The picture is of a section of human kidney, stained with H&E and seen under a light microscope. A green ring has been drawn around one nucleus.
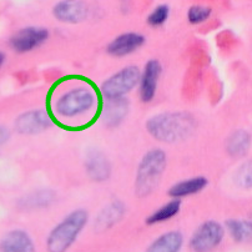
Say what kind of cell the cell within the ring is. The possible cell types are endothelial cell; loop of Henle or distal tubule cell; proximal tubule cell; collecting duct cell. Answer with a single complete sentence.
It is a collecting duct cell that the cell within the ring represents.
